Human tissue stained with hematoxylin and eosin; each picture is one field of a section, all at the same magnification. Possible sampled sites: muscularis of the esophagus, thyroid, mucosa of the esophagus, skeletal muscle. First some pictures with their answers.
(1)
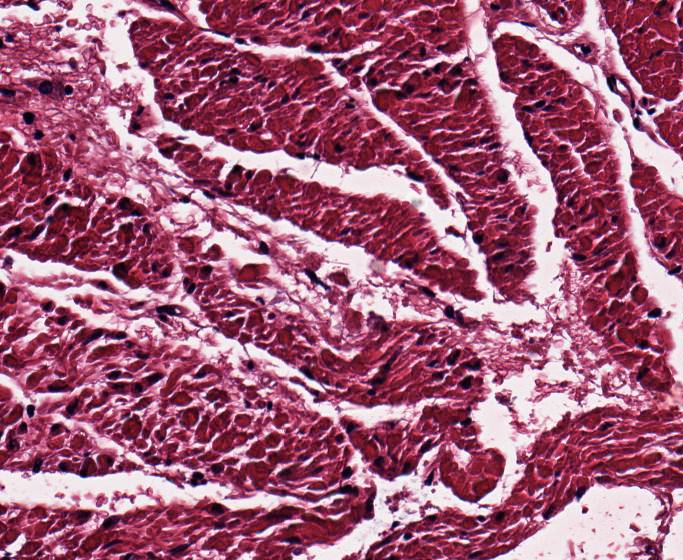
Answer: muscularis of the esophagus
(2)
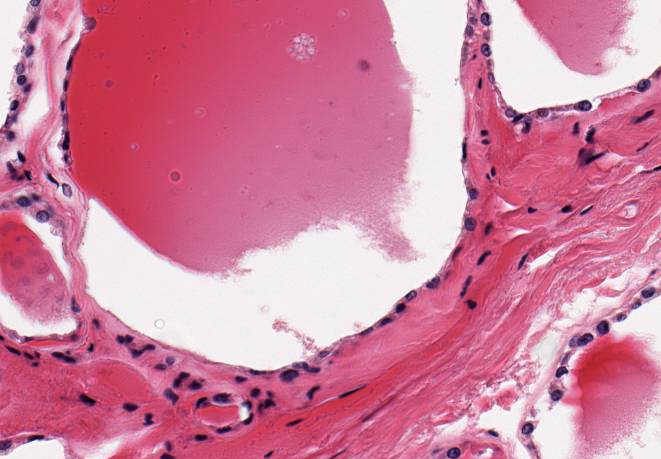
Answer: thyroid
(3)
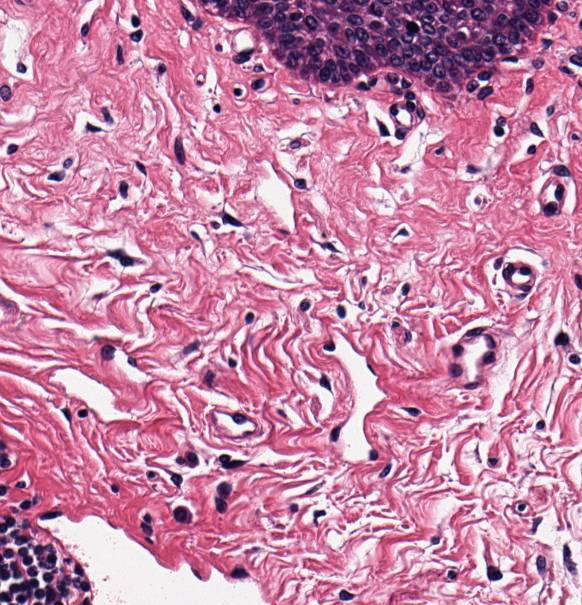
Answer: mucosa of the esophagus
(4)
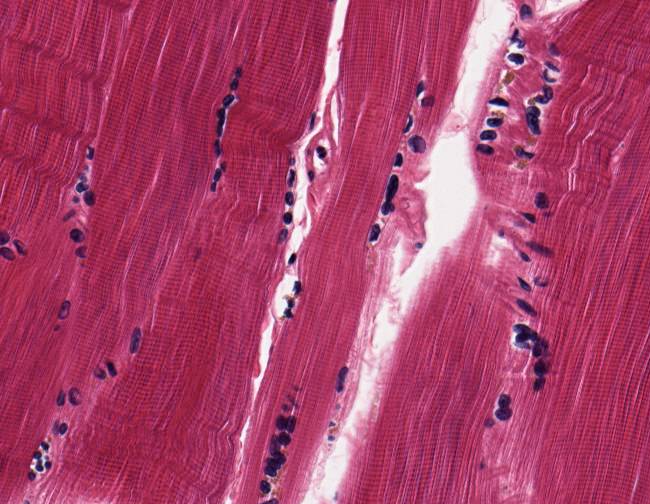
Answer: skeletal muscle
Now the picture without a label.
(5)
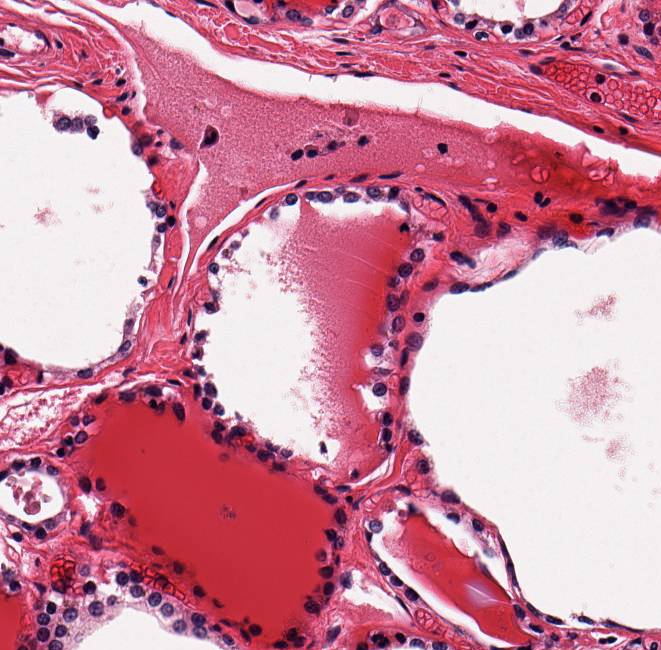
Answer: thyroid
